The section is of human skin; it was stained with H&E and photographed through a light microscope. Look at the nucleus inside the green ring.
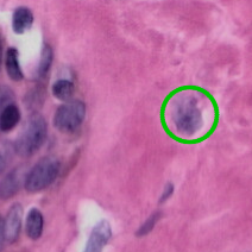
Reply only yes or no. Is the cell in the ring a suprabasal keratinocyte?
no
